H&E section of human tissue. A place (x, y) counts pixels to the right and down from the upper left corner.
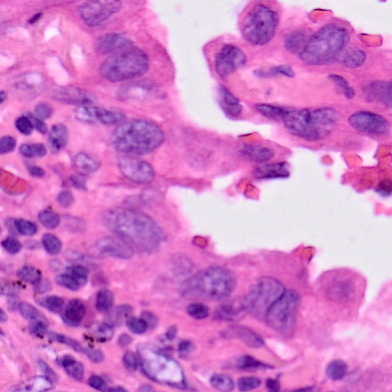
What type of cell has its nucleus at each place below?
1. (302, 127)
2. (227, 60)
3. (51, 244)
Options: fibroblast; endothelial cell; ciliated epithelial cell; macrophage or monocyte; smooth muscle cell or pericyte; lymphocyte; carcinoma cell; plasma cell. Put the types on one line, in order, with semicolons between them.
carcinoma cell; carcinoma cell; lymphocyte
